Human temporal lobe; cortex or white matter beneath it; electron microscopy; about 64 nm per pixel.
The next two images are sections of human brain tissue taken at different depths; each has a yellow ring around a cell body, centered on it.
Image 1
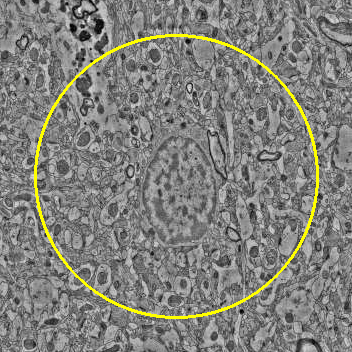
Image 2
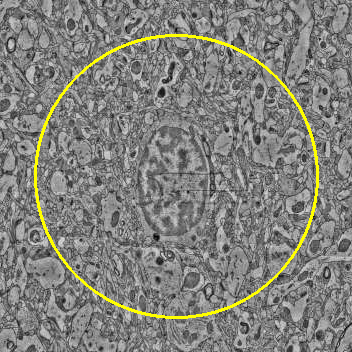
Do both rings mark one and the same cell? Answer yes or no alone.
no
